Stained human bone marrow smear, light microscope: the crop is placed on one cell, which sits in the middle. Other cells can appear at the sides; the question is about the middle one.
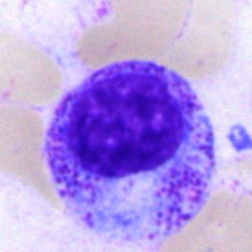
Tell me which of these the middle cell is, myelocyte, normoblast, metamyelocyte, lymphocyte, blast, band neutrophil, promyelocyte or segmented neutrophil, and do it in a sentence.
Here the centrally located cell is a myelocyte.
